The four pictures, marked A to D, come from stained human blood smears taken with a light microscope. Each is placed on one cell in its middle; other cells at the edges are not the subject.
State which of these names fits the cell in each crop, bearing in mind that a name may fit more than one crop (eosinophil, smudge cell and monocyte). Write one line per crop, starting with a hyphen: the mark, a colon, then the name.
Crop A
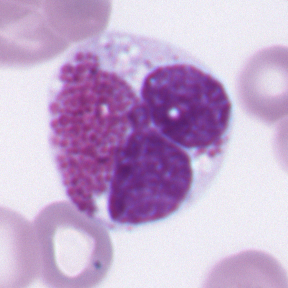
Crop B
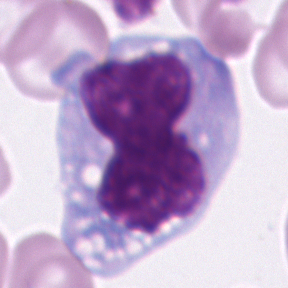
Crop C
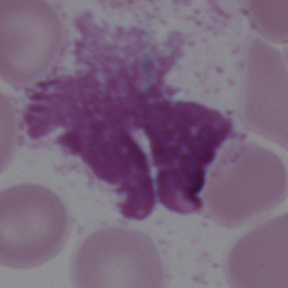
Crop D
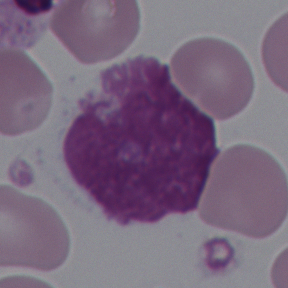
- A: eosinophil
- B: monocyte
- C: smudge cell
- D: smudge cell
